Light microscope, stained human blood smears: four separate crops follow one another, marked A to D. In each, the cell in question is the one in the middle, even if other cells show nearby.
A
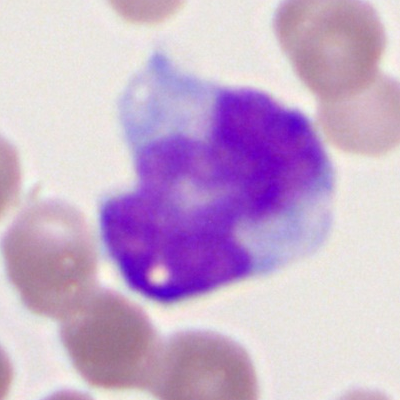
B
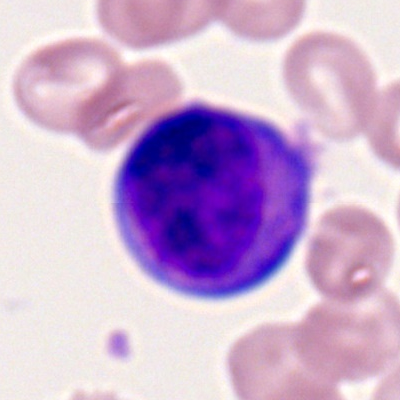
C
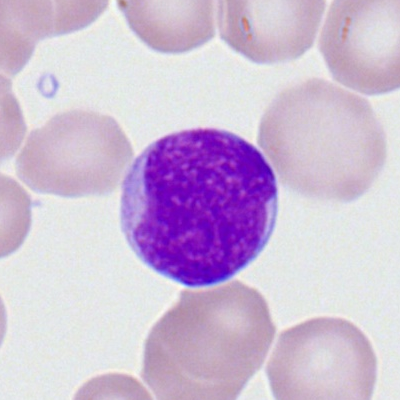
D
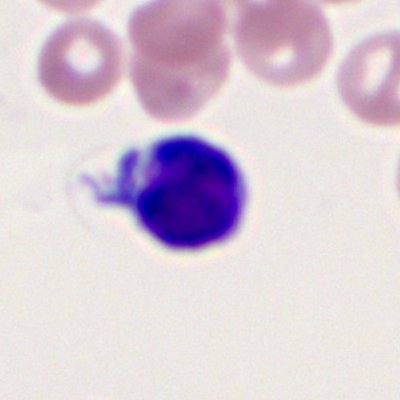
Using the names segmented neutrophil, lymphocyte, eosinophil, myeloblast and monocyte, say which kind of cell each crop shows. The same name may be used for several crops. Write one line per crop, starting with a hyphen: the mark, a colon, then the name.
- A: monocyte
- B: myeloblast
- C: myeloblast
- D: lymphocyte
